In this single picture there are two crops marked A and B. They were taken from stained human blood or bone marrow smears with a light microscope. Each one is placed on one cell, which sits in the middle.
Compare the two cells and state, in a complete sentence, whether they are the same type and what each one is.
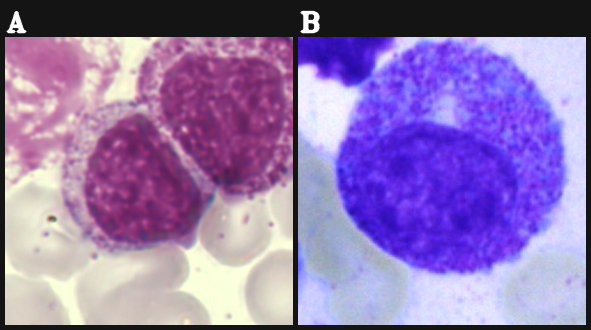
Yes, myelocytes are what the two crops show.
